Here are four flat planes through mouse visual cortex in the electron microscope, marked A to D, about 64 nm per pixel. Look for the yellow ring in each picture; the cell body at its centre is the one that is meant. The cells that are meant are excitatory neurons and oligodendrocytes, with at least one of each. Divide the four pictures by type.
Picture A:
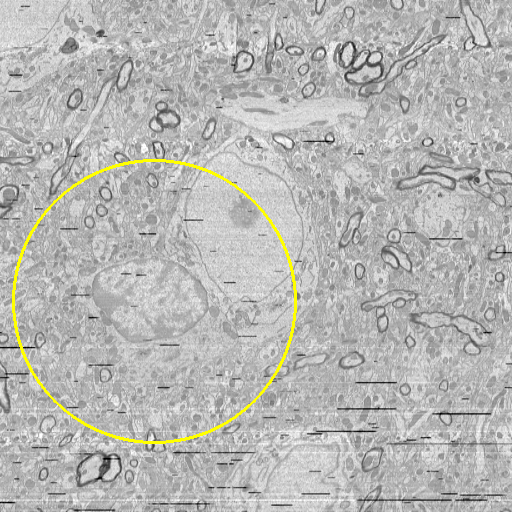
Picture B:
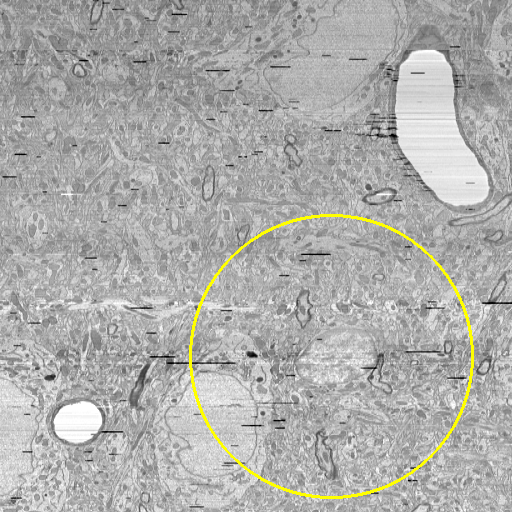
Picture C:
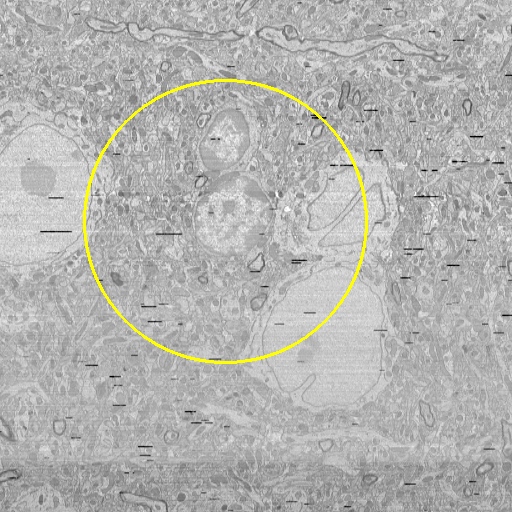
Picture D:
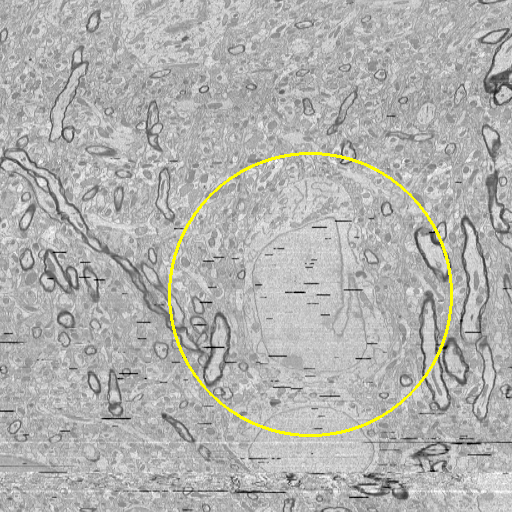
Picture D shows an excitatory neuron; pictures A, B and C show oligodendrocytes.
